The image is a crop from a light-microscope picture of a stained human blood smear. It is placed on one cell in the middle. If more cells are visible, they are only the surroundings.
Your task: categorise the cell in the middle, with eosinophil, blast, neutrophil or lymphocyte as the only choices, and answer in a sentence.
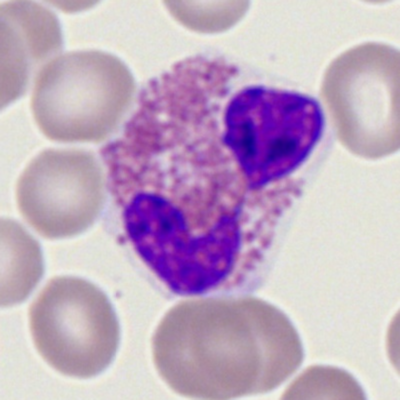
The cell that lies at the centre of the crop is an eosinophil.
